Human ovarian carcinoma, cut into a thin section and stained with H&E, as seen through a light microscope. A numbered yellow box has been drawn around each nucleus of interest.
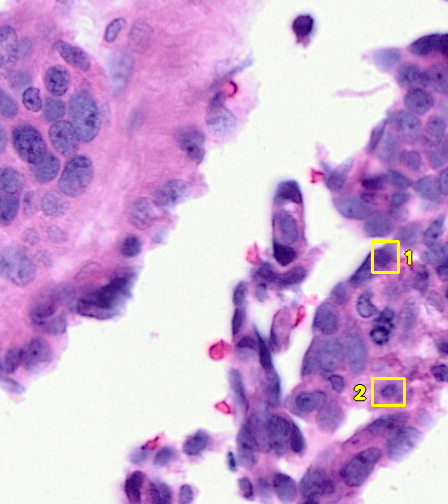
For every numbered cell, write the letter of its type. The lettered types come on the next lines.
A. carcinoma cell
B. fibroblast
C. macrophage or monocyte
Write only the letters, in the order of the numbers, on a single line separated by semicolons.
A; C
